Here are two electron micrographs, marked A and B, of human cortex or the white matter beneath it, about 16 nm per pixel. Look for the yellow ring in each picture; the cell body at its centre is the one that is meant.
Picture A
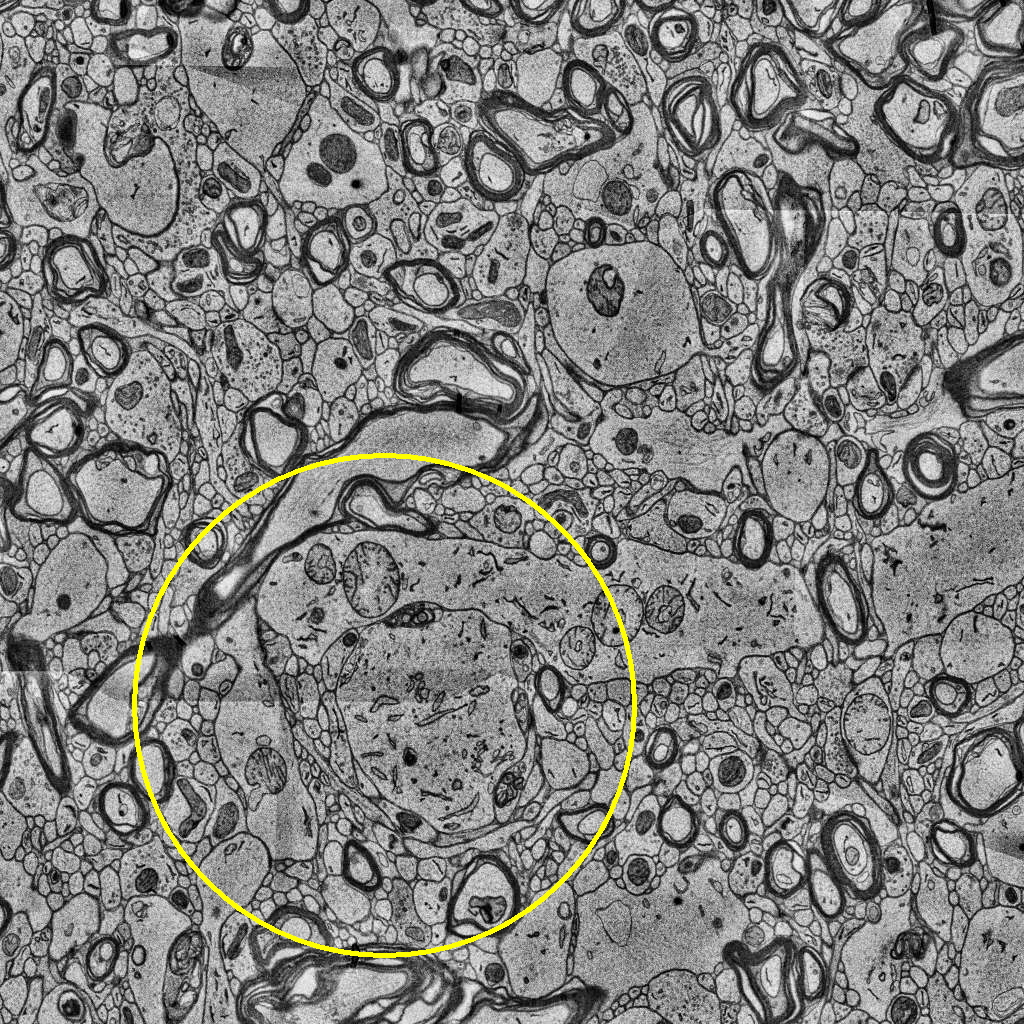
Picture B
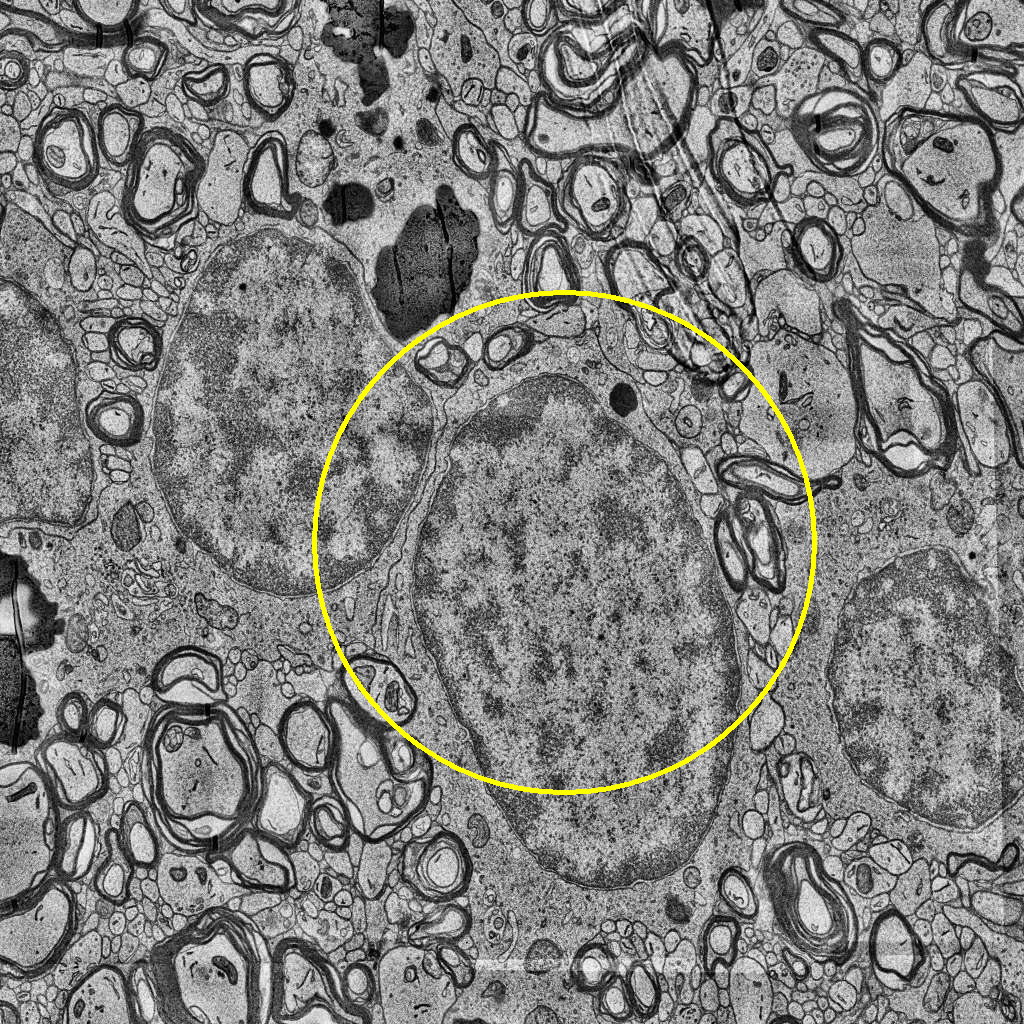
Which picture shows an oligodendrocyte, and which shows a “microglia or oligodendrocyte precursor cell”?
Picture A shows a “microglia or oligodendrocyte precursor cell” and picture B shows an oligodendrocyte.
